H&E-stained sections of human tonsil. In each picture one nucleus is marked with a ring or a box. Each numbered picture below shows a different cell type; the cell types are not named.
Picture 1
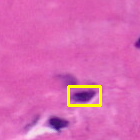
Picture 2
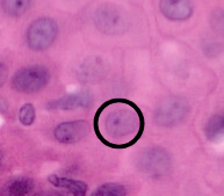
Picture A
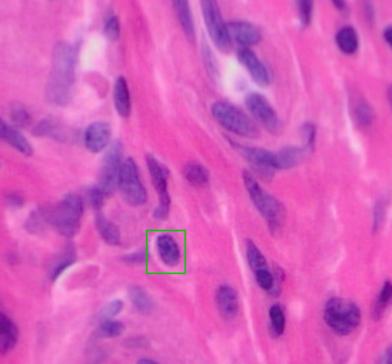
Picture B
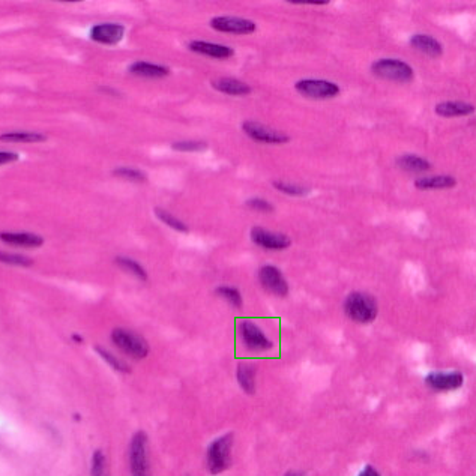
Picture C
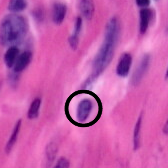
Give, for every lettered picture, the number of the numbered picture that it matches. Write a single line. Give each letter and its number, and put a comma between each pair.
A 1, B 2, C 1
